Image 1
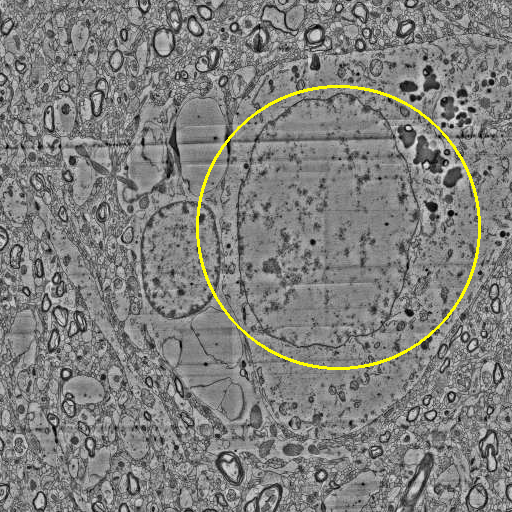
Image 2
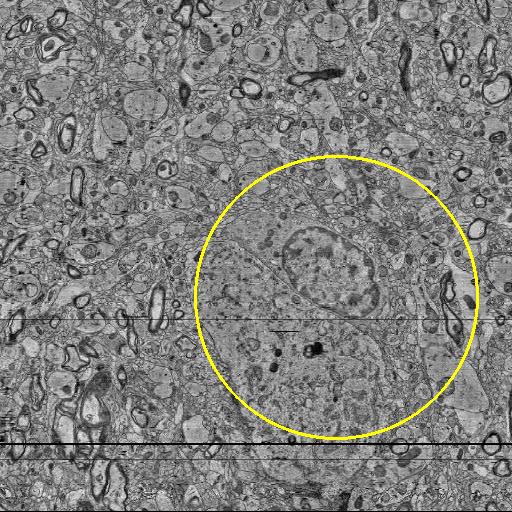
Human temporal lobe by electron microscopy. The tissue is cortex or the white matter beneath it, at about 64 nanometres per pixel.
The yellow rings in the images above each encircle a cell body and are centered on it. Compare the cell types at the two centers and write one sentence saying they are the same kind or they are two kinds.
Taken together, the two cells at the ring centers are two kinds.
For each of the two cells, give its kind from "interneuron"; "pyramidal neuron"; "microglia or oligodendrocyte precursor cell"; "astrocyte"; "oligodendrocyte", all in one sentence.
The first picture has a pyramidal neuron in its ring, the second has an oligodendrocyte.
